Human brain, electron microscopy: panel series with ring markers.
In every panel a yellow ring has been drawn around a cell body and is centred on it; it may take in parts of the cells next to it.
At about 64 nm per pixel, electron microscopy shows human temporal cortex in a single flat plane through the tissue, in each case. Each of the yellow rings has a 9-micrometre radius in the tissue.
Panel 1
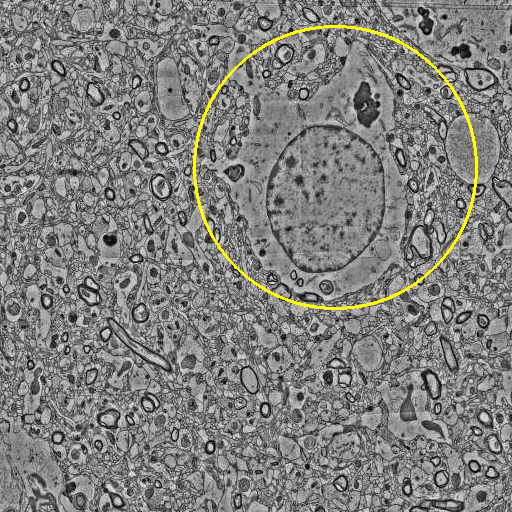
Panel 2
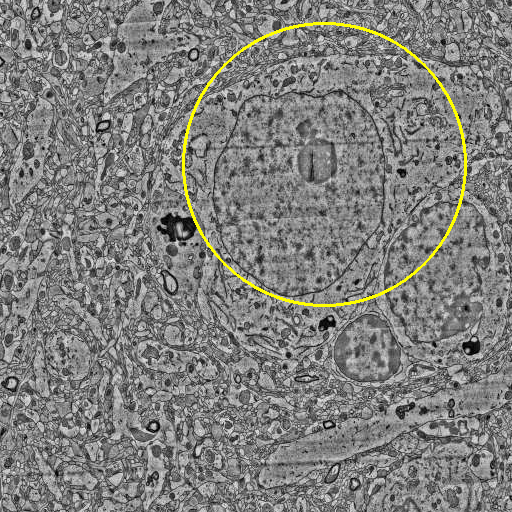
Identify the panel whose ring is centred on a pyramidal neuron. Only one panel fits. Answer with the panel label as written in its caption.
Panel 2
